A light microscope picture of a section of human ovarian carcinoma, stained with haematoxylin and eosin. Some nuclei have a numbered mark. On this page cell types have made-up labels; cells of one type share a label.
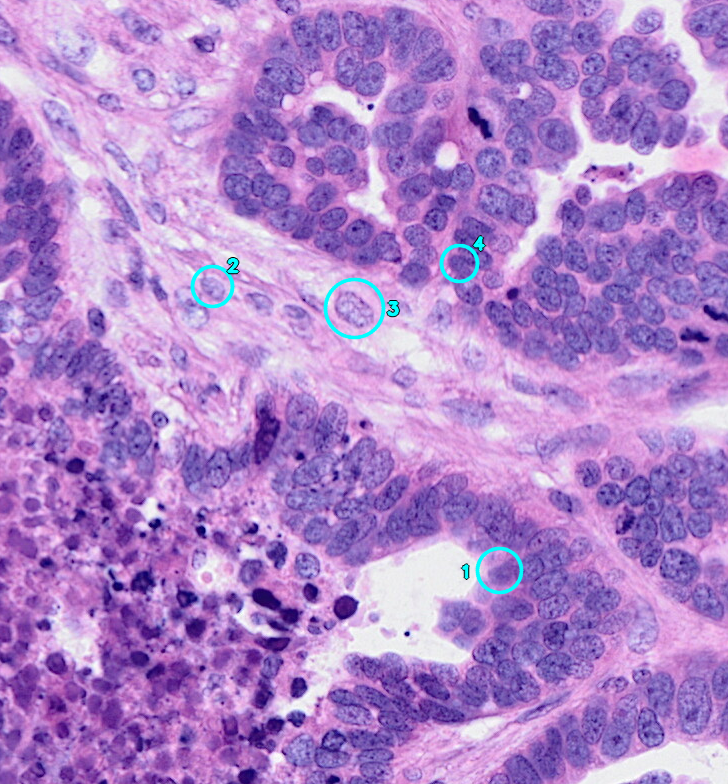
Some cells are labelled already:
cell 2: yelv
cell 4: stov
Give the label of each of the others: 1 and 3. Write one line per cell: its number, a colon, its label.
1: stov
3: yelv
